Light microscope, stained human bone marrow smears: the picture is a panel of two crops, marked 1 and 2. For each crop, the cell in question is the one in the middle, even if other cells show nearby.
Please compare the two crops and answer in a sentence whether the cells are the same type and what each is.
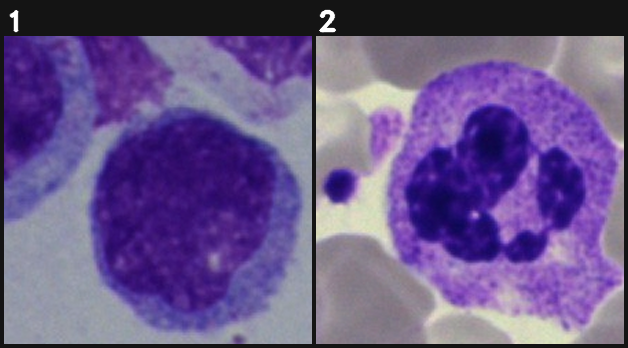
No, sorry, crop 1 shows a monocyte and crop 2 shows a segmented neutrophil.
